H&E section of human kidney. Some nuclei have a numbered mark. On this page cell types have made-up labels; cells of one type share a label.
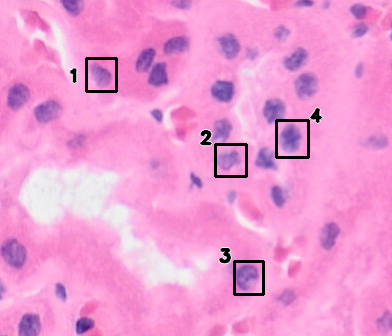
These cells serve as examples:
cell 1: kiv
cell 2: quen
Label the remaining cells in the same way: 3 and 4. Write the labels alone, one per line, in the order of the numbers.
kiv
quen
